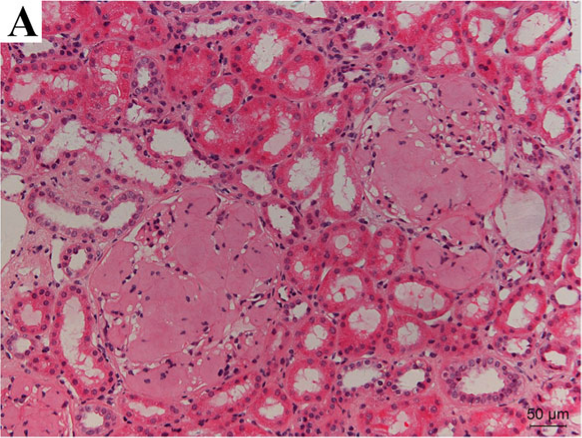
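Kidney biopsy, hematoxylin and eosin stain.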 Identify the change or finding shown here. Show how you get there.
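Two round glomeruli are filled with pale pink, homogeneous material. The material is nearly acellular with few scattered nuclei. Normal capillary loop structure is not visible within the tufts.
Answer: massive amorphous eosinophilic deposits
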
